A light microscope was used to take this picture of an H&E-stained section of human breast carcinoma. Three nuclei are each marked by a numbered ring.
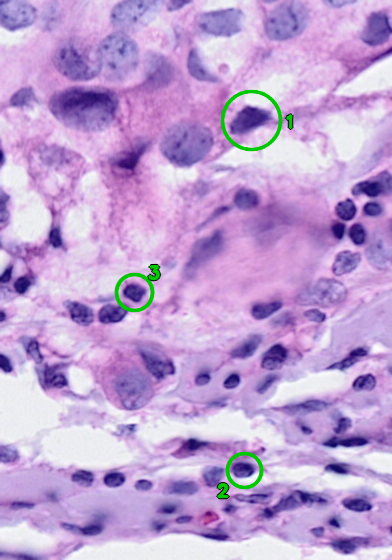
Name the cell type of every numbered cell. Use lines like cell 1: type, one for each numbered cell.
cell 1: carcinoma cell
cell 2: lymphocyte
cell 3: lymphocyte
